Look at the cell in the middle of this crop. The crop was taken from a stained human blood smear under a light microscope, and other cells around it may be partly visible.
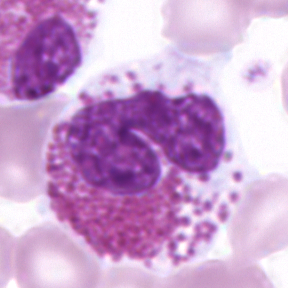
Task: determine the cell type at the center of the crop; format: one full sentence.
The centered cell in this crop is an eosinophil.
